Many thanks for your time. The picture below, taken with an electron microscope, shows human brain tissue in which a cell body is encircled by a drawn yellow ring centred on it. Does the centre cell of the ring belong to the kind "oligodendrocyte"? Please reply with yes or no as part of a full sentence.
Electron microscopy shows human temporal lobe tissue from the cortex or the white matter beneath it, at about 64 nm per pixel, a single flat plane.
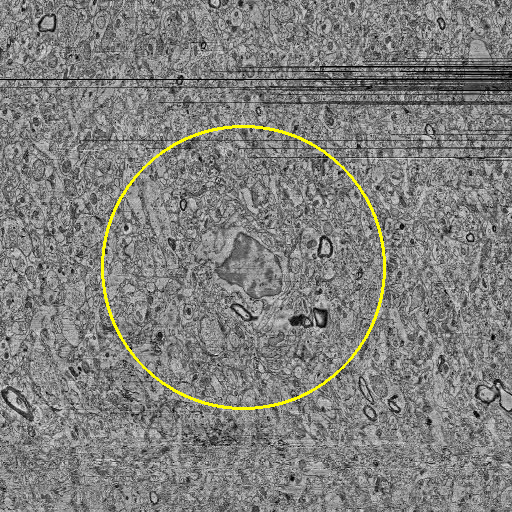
No, in the picture the cell at the ring's centre is of some different kind.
